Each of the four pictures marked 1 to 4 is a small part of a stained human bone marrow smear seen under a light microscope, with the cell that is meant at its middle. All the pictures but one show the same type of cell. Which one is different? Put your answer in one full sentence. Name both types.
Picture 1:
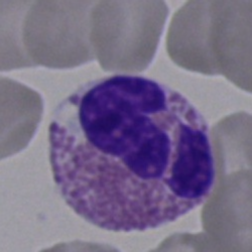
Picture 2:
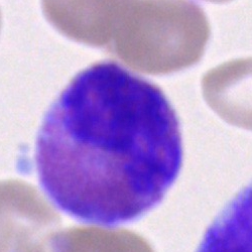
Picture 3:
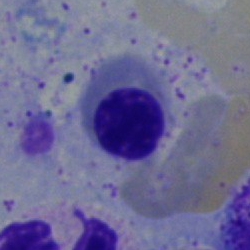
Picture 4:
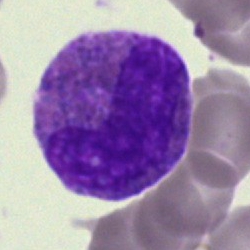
Unlike the rest, which show eosinophils, picture 3 shows an erythroblast.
